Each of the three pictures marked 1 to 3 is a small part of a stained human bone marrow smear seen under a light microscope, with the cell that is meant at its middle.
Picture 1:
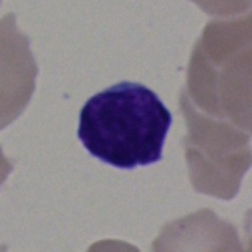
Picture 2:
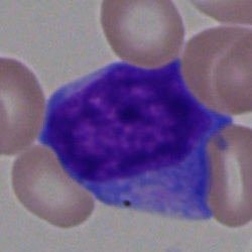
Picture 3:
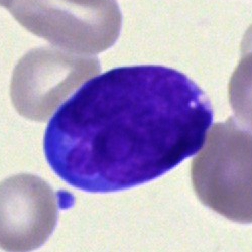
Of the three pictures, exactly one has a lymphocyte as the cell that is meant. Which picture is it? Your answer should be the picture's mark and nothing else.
1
